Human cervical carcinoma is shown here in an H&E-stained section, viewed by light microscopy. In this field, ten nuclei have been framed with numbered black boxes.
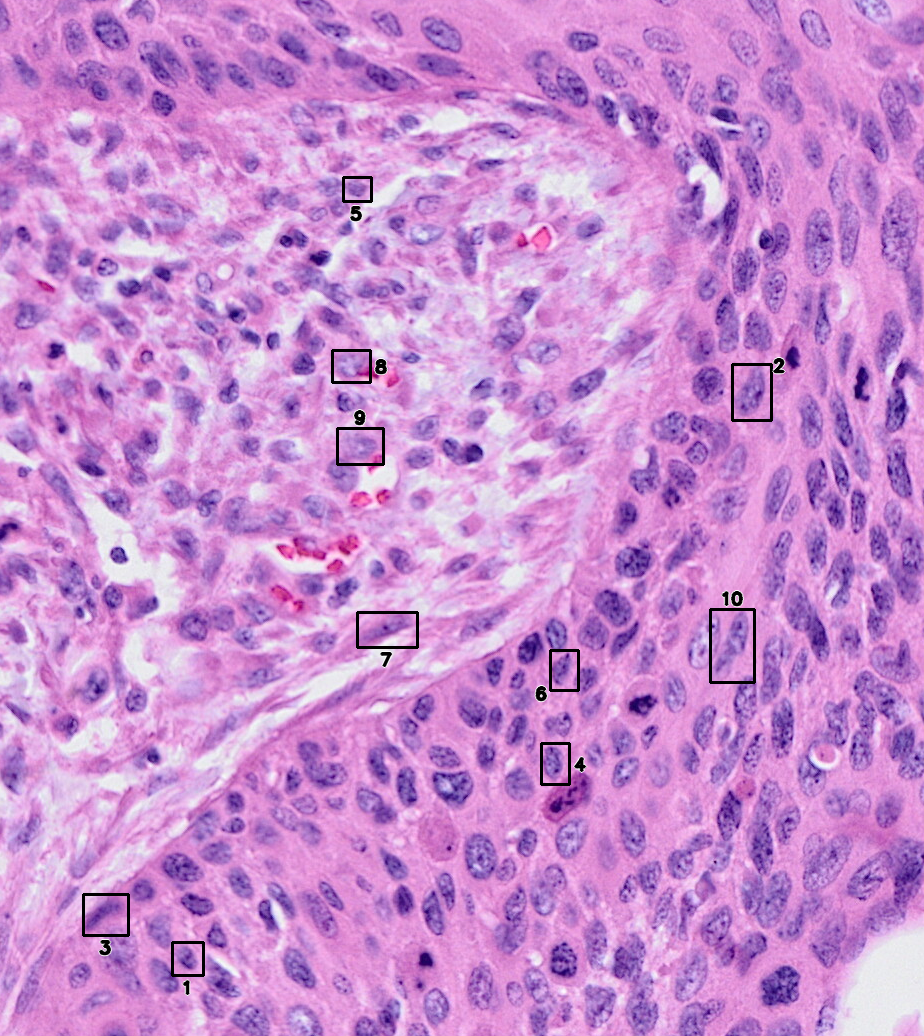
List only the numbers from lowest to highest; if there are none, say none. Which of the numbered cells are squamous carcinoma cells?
1, 2, 3, 4, 6, 10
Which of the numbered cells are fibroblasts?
5, 7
